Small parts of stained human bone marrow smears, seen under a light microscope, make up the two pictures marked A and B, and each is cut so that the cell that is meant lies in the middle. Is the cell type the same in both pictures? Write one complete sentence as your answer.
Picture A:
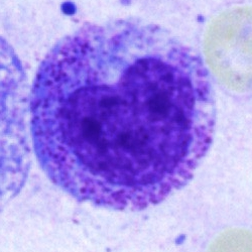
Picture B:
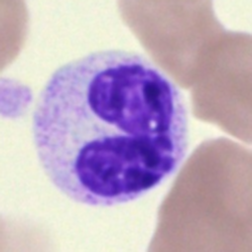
No. Picture A shows a metamyelocyte, but picture B shows a band neutrophil.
